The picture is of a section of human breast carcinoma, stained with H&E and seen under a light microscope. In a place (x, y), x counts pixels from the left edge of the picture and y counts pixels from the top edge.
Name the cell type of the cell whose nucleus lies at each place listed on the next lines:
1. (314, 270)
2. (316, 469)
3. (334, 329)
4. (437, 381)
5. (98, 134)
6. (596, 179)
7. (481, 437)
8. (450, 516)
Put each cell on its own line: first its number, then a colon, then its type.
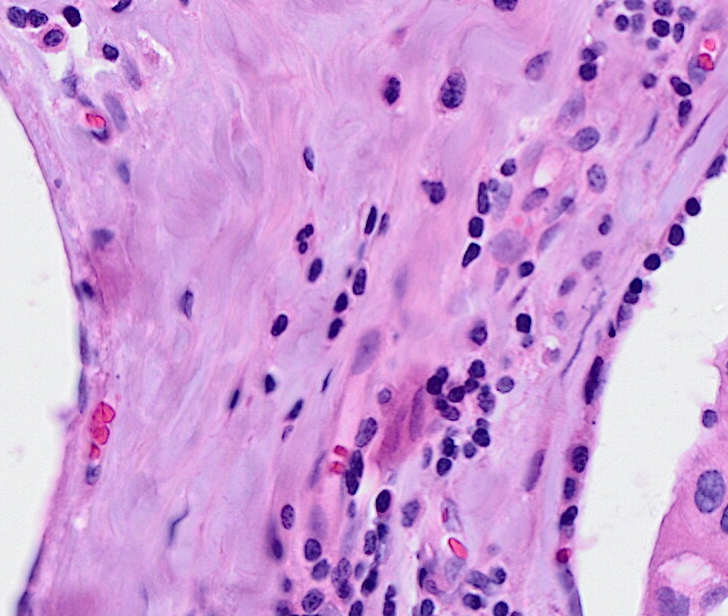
1: lymphocyte
2: endothelial cell
3: lymphocyte
4: lymphocyte
5: endothelial cell
6: mast cell
7: lymphocyte
8: endothelial cell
